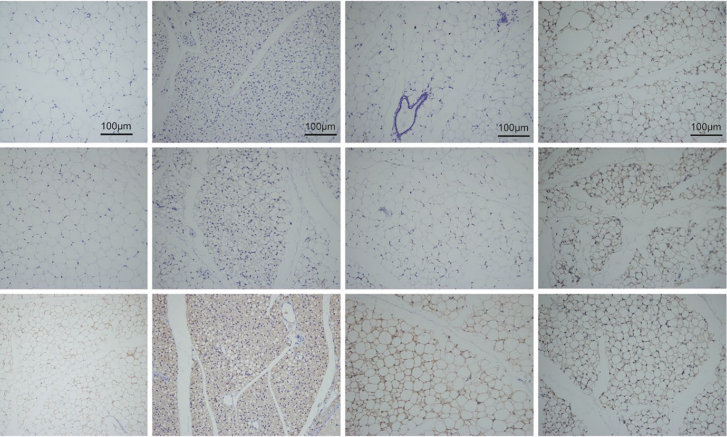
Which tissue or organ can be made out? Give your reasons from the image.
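The sections are made of tightly packed rounded cells with thin walls. Many cells have large clear, empty-looking vacuoles. Thin strands of connective tissue separate lobules of these cells.
Answer: Adipose tissues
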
